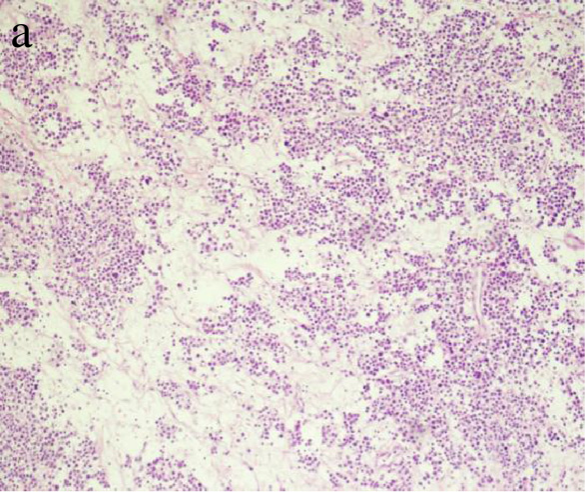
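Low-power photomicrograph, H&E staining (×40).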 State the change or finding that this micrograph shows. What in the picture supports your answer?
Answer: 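Extensive edema. Wide pale, nearly empty spaces with fine wispy pink strands separate the cell groups. Cells lie in loose, scattered clusters rather than a compact sheet.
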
